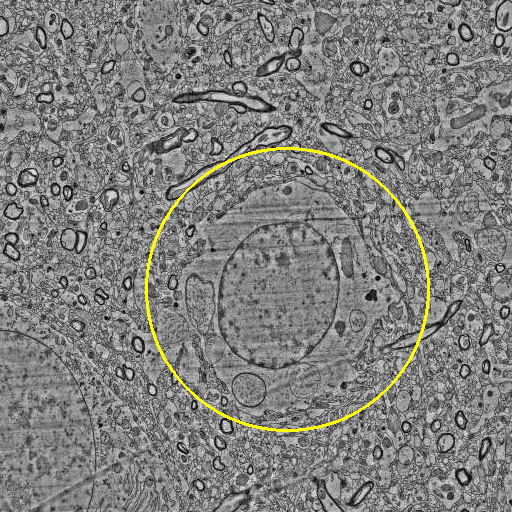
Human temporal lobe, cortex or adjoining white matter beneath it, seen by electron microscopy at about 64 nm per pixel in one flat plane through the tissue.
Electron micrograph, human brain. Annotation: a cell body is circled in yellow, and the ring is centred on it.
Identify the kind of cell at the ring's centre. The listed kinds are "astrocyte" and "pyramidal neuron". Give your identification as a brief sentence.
The circled cell body is that of an astrocyte.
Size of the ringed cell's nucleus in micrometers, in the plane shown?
The nucleus appears roughly 10 by 8 micrometres in this plane.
